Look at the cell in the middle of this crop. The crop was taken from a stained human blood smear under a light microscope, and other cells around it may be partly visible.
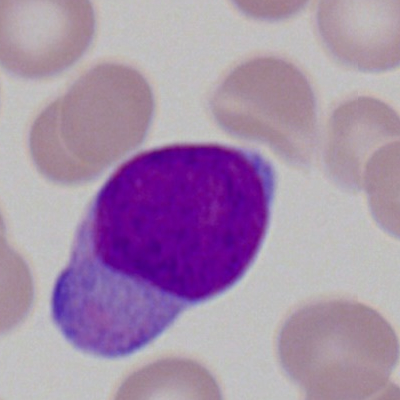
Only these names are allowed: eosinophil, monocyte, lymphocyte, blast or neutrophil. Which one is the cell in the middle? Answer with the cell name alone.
blast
